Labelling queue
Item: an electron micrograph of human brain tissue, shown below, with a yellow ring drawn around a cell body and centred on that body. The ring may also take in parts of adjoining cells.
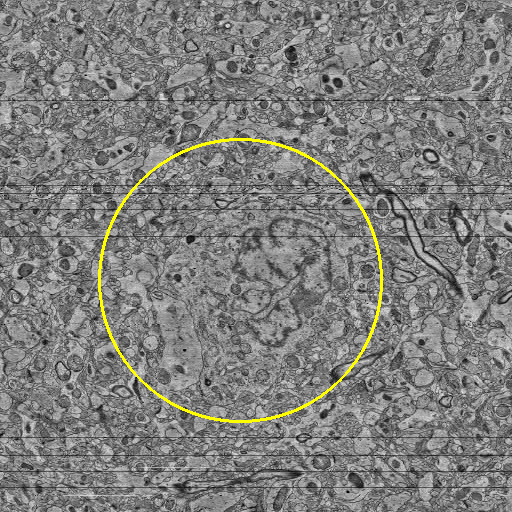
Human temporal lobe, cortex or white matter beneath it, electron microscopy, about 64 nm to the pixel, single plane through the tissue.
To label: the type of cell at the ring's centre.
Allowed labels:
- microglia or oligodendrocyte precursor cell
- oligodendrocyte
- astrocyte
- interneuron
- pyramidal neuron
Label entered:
interneuron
